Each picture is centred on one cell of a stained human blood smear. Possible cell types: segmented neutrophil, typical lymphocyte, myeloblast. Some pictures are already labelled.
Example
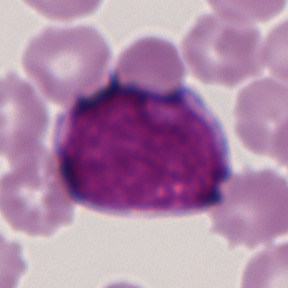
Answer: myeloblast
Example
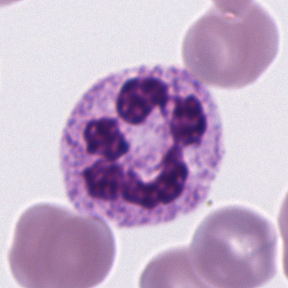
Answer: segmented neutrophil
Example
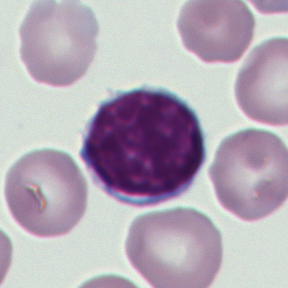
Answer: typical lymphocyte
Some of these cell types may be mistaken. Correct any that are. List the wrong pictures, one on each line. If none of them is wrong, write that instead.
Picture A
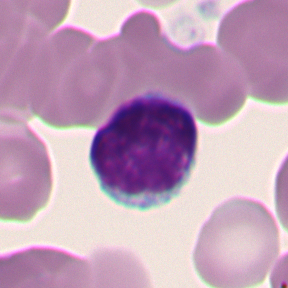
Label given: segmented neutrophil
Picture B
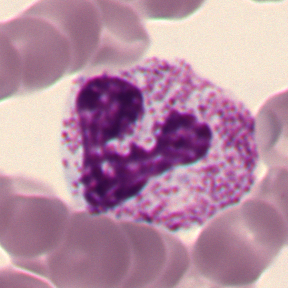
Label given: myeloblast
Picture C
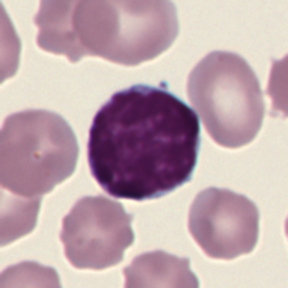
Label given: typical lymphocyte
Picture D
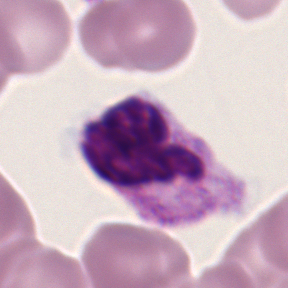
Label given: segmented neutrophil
A: typical lymphocyte, not segmented neutrophil
B: segmented neutrophil, not myeloblast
